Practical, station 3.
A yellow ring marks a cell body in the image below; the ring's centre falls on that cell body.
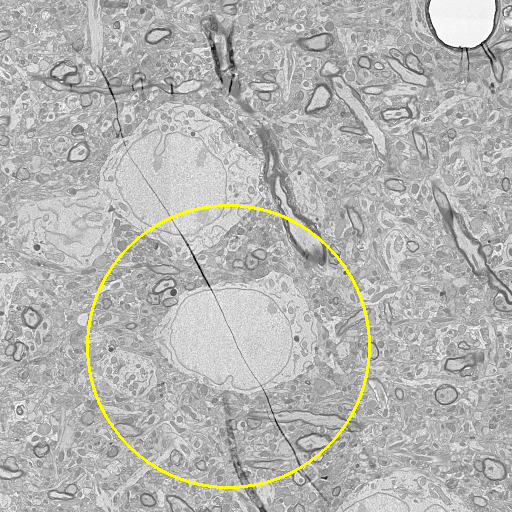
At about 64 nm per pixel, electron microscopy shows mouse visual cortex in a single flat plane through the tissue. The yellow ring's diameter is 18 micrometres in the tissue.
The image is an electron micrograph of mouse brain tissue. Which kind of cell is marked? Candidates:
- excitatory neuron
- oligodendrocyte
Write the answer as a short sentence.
The marked cell body is that of an excitatory neuron.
